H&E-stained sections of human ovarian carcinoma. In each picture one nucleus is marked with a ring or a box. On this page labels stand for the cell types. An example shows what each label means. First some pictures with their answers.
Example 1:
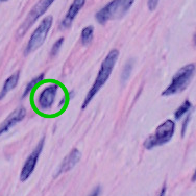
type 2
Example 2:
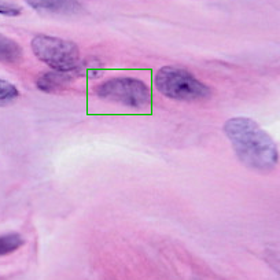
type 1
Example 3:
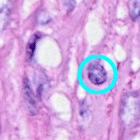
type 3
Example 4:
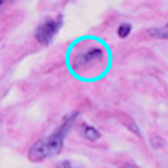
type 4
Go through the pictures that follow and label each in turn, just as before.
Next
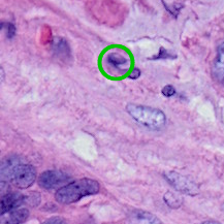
type 3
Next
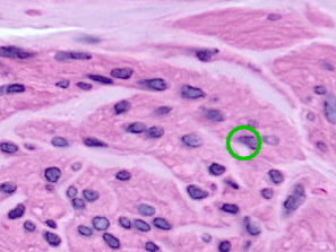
type 2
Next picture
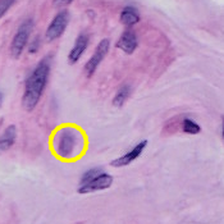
type 2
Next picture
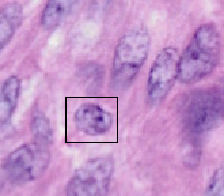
type 3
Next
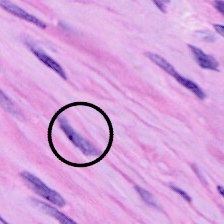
type 2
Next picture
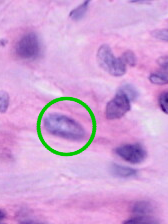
type 1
